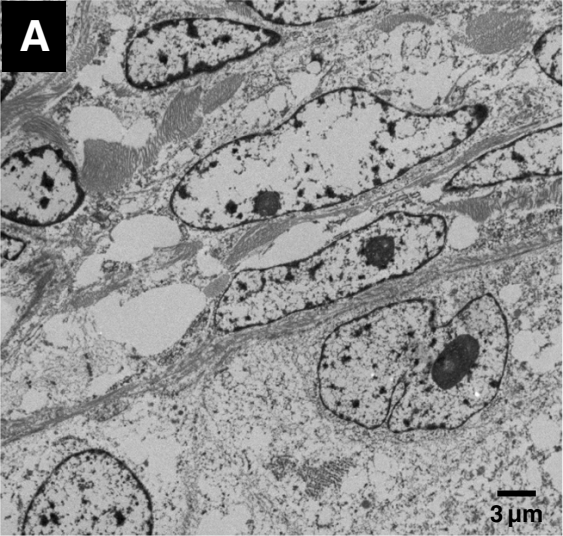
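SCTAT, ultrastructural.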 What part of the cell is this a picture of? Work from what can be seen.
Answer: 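Conspicuous nucleoli. Several nuclei contain a large, round, electron-dense body. The dense bodies are distinct from the smaller clumps of peripheral chromatin.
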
